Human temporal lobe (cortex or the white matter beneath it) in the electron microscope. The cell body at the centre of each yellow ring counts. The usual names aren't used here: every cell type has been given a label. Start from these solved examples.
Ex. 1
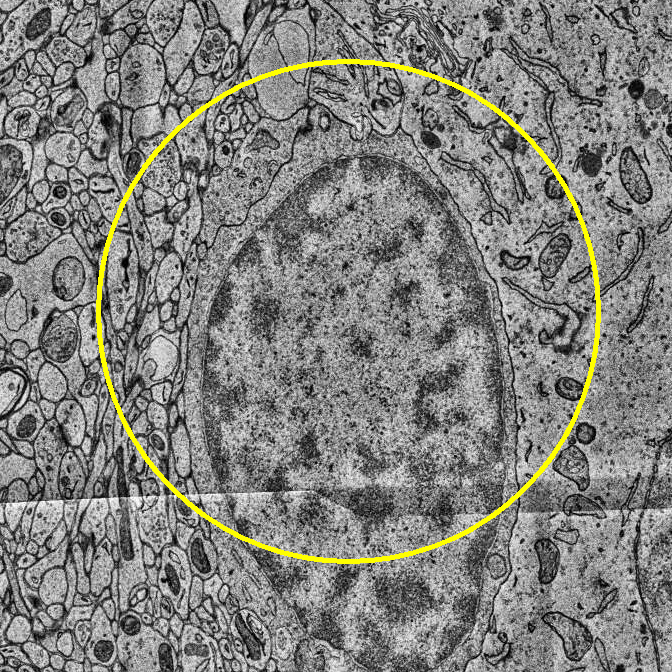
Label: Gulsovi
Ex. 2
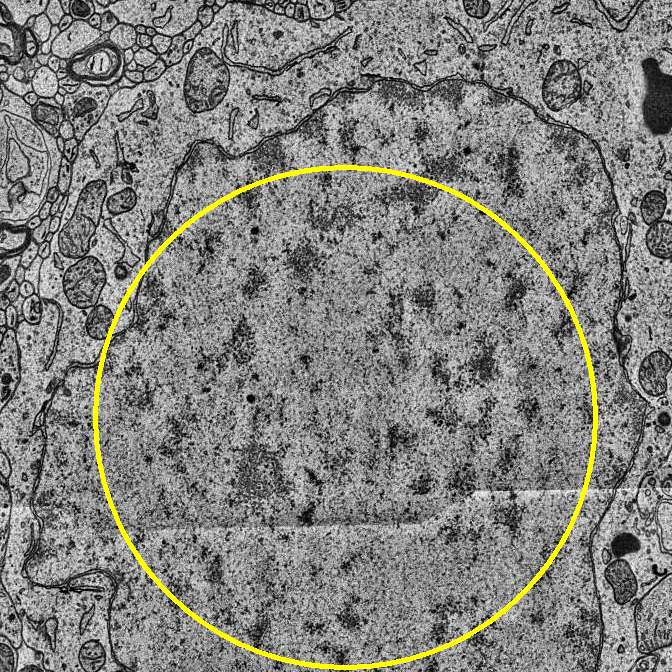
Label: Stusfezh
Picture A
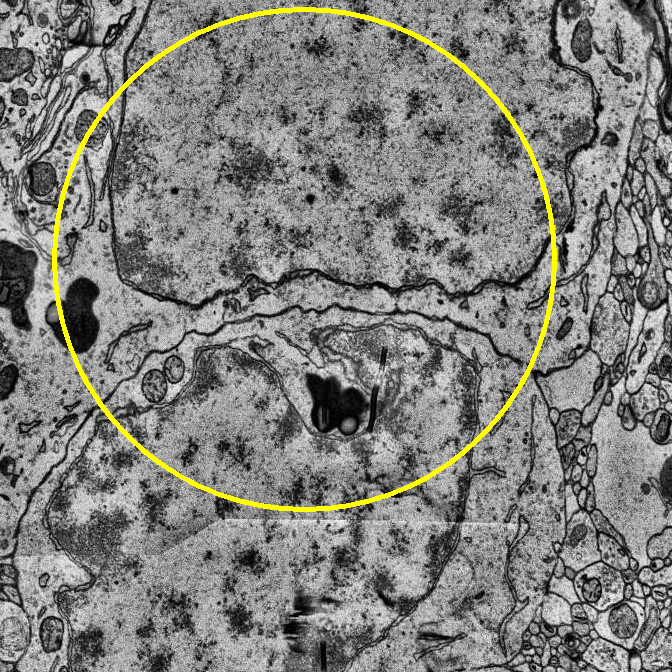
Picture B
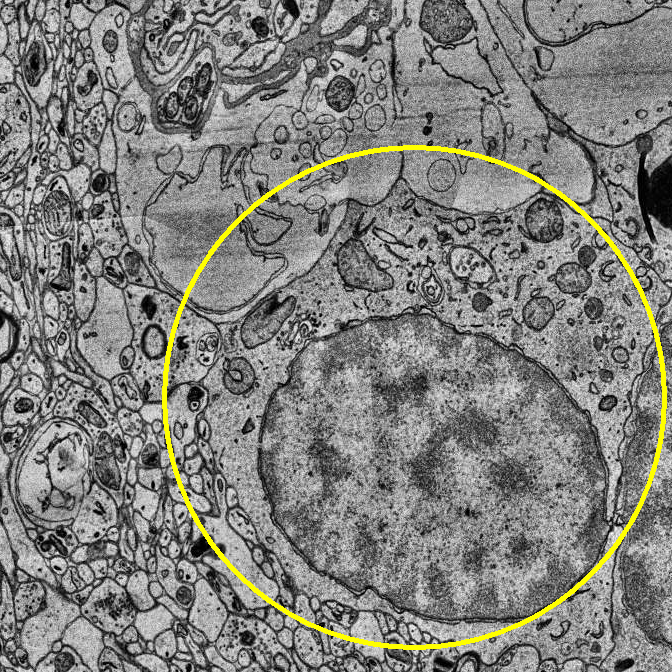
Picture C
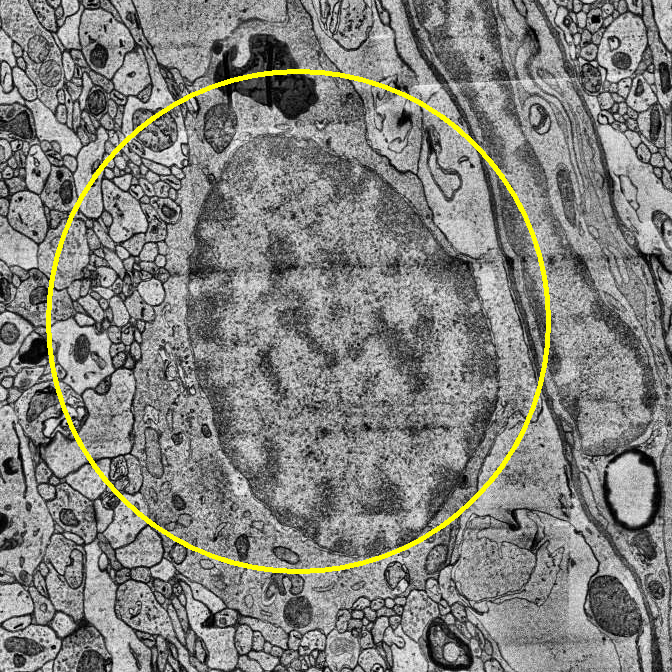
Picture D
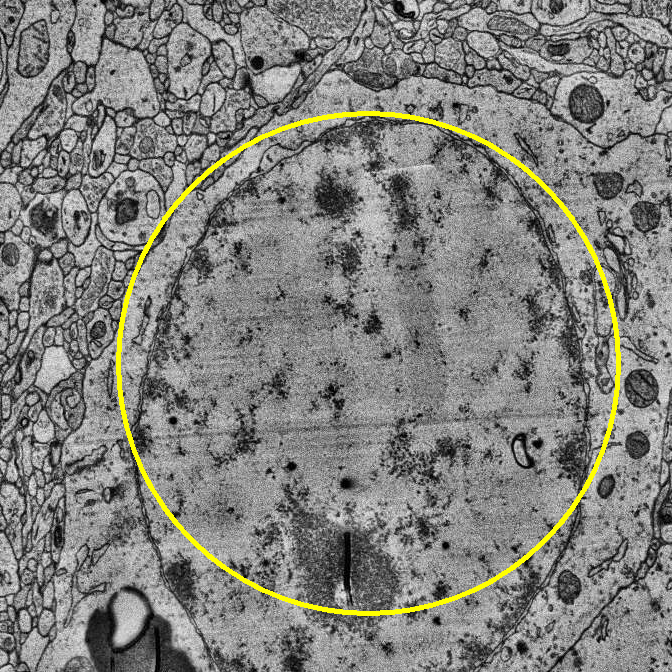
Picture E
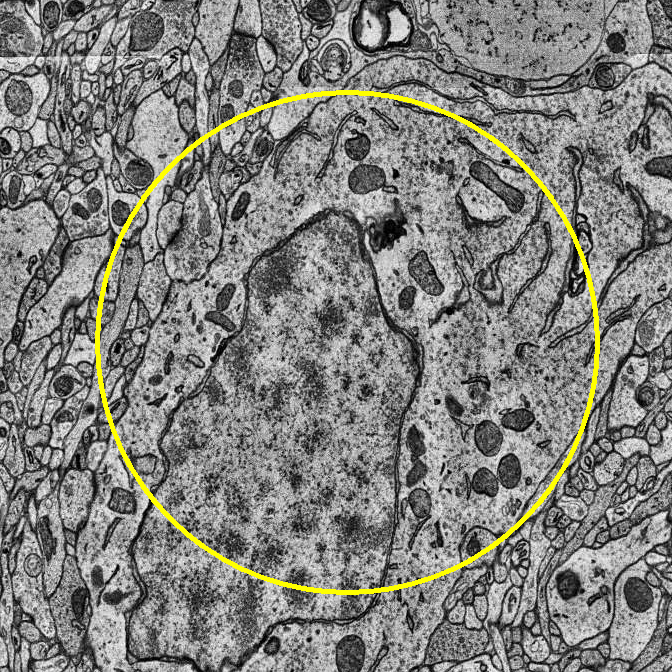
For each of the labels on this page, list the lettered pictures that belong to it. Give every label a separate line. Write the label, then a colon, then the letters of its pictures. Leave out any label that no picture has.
Gulsovi: B, C
Stusfezh: A, D, E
